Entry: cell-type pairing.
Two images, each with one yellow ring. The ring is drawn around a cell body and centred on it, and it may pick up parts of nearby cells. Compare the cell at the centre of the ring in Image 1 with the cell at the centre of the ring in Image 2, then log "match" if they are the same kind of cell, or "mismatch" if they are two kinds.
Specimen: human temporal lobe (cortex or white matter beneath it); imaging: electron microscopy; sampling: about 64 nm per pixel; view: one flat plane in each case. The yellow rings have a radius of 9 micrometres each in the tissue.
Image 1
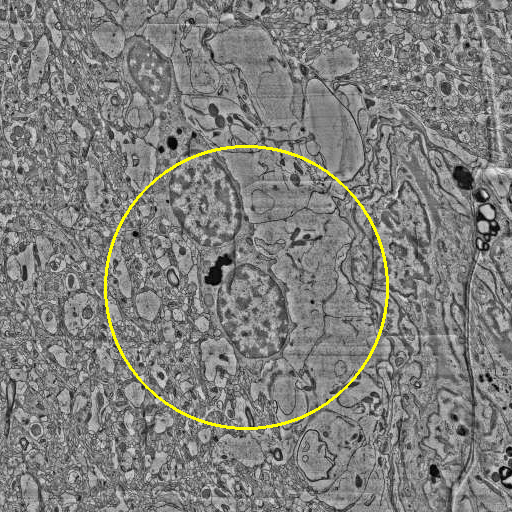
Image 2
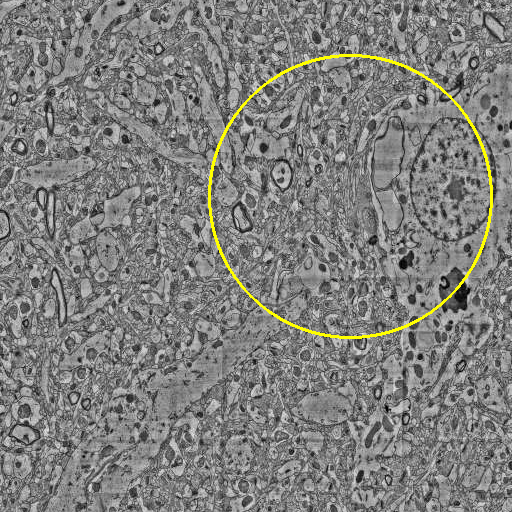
match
